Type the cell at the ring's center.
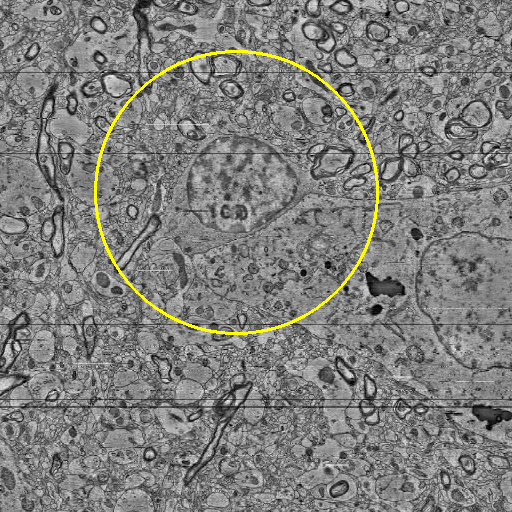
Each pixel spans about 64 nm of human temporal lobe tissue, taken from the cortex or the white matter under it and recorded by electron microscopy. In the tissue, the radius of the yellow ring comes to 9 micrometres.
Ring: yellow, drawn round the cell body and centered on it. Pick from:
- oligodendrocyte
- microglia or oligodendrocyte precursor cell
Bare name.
oligodendrocyte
